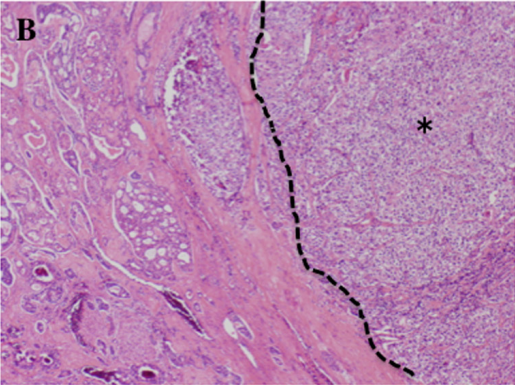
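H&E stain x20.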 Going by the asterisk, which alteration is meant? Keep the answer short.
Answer: High-grade carcinoma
